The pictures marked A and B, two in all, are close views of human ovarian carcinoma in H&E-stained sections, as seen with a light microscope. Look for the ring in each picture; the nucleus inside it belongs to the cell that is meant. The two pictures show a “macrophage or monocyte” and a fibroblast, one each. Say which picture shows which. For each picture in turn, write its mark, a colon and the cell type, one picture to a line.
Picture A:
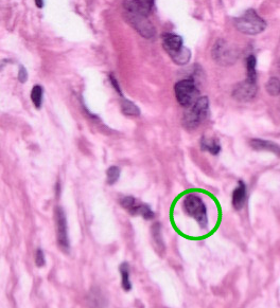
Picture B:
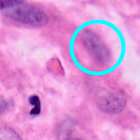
A: macrophage or monocyte
B: fibroblast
